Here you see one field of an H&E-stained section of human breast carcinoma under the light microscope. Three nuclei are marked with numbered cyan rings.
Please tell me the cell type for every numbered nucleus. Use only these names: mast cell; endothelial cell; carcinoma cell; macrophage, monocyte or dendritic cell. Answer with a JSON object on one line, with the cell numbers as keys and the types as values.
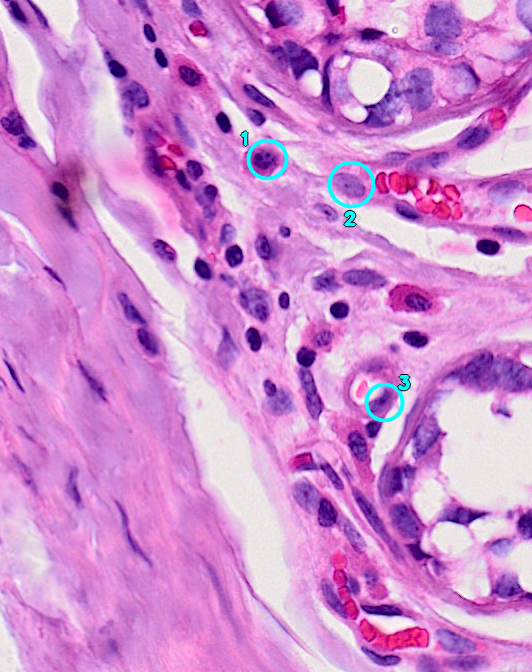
{"1": "mast cell", "2": "endothelial cell", "3": "endothelial cell"}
